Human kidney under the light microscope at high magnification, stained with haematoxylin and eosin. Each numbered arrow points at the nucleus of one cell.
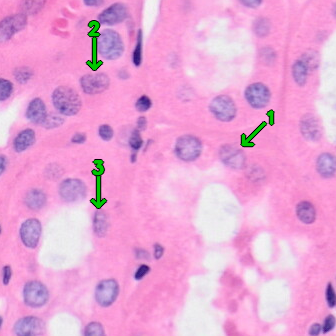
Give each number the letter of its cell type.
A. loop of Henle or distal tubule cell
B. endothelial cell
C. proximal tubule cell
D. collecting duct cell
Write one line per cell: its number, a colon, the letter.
1: C
2: D
3: A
